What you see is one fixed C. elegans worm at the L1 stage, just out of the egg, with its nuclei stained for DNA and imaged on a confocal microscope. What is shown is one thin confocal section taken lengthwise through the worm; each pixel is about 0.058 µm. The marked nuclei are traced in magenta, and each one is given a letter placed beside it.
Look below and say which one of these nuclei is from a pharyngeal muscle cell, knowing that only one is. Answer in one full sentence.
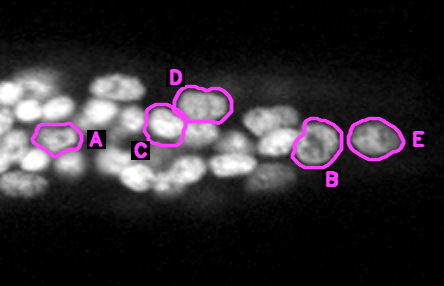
The one from a pharyngeal muscle cell is A.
